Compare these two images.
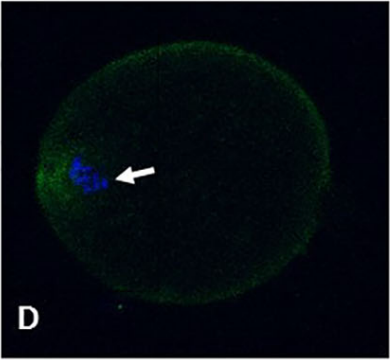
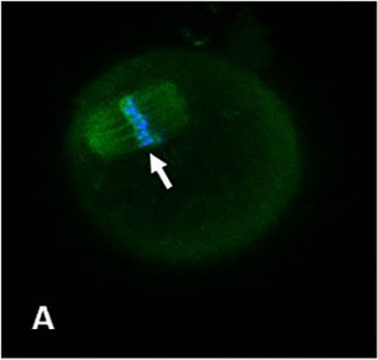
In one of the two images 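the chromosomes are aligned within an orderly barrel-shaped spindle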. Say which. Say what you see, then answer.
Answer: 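First image: blue chromosomes in an irregular clump with no clear green spindle. Second image: blue chromosomes in a line across a barrel of green fibres.
Answer: the second image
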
